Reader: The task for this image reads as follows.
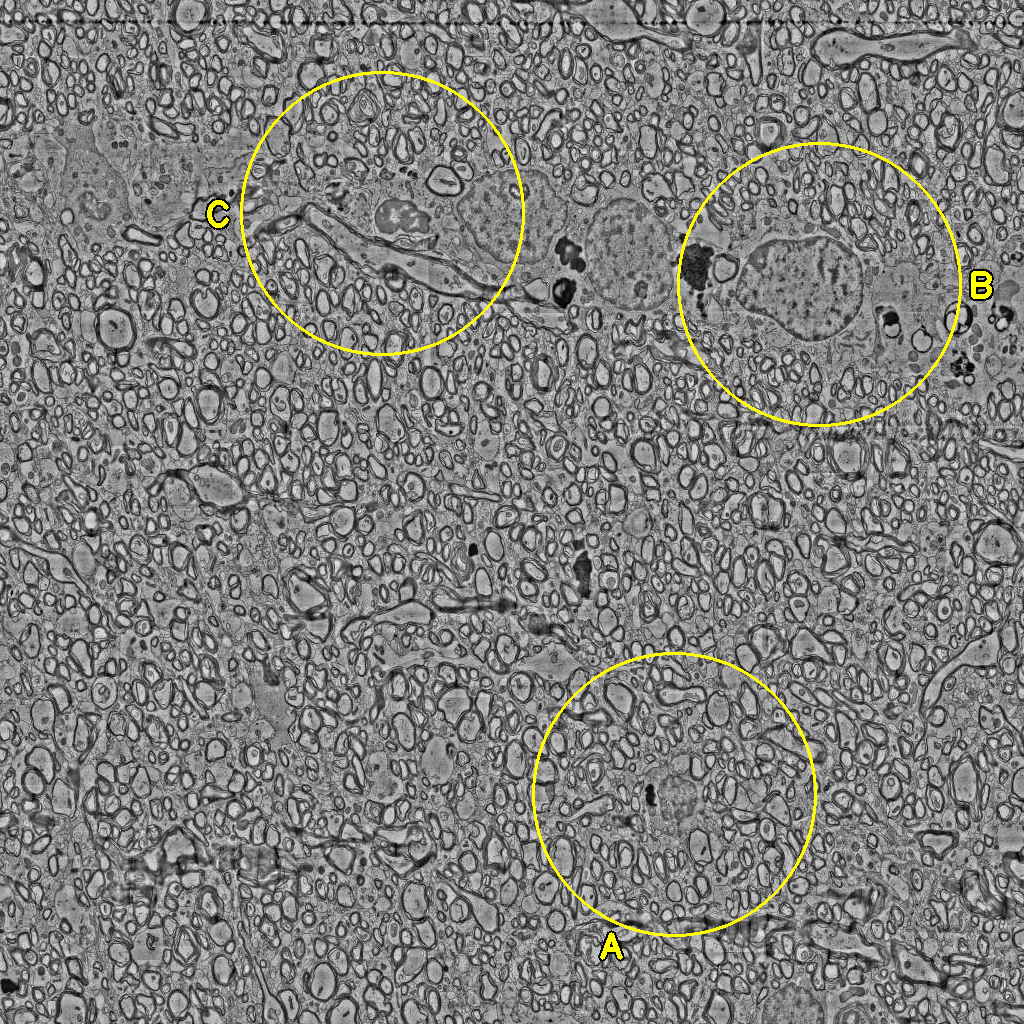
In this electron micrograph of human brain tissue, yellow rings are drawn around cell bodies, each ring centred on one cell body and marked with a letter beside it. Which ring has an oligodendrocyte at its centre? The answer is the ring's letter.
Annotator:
A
